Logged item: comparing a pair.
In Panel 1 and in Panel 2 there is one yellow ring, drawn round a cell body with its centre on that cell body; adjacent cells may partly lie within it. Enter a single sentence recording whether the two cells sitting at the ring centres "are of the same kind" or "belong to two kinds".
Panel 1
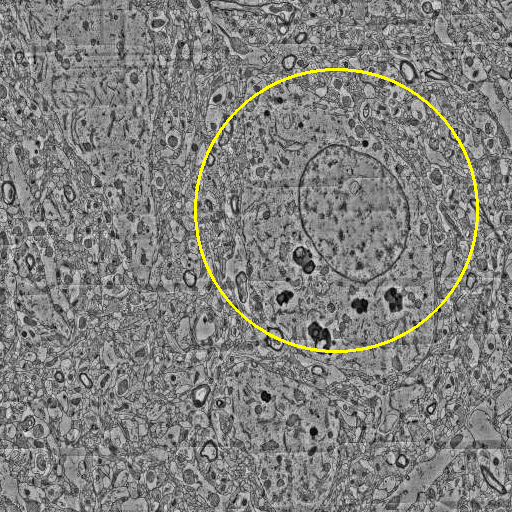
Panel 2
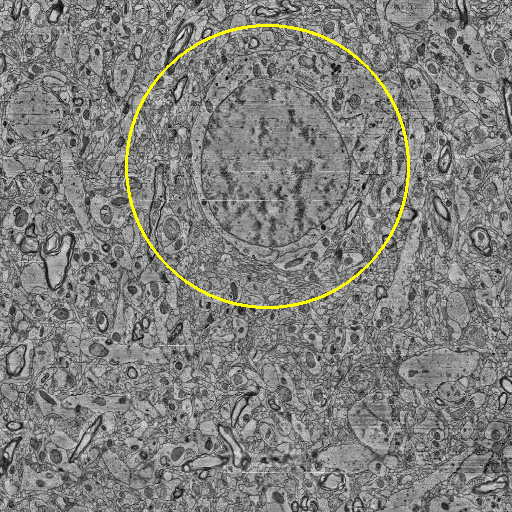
Logged: the cells centred in the rings of Panel 1 and Panel 2 are of the same kind.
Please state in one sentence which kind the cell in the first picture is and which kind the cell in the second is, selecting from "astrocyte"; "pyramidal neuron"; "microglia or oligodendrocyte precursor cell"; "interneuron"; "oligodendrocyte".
The cell at the ring centre is a pyramidal neuron in both pictures.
